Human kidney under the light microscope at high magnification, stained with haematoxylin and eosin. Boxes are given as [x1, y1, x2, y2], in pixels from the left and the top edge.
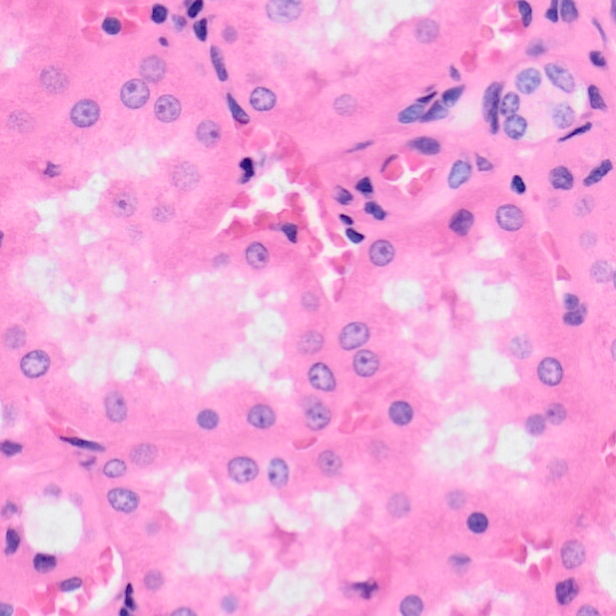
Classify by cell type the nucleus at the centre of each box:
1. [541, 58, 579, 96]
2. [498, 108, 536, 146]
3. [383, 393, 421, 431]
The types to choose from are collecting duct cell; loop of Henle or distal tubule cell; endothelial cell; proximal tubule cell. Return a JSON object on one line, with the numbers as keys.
{"1": "collecting duct cell", "2": "collecting duct cell", "3": "proximal tubule cell"}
